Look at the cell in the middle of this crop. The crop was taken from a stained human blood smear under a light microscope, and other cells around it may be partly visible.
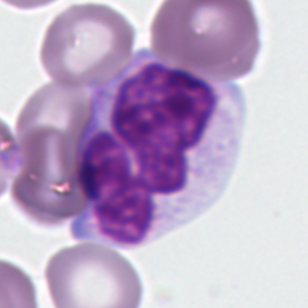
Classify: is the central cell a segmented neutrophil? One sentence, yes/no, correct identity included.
Yes, a segmented neutrophil is the cell positioned in the middle of the field.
